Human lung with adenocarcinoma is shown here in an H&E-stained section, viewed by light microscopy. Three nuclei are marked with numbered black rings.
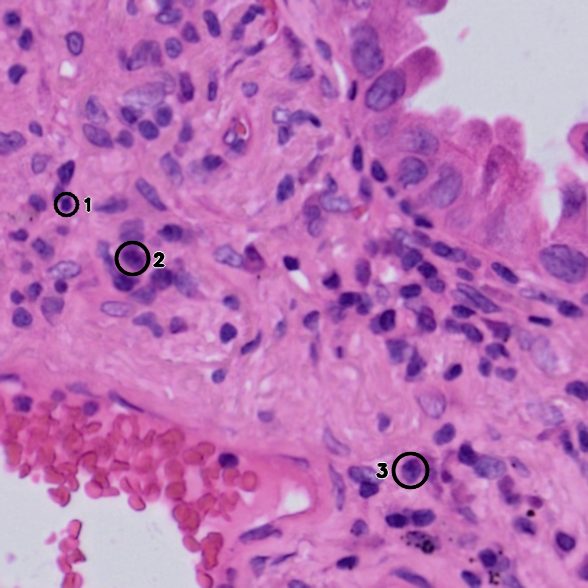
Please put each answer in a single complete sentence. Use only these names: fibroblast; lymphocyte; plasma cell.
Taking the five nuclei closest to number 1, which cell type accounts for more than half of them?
Of the five nuclei nearest to number 1, most belong to lymphocytes.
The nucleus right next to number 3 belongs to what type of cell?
It is a plasma cell whose nucleus is nearest to number 3.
